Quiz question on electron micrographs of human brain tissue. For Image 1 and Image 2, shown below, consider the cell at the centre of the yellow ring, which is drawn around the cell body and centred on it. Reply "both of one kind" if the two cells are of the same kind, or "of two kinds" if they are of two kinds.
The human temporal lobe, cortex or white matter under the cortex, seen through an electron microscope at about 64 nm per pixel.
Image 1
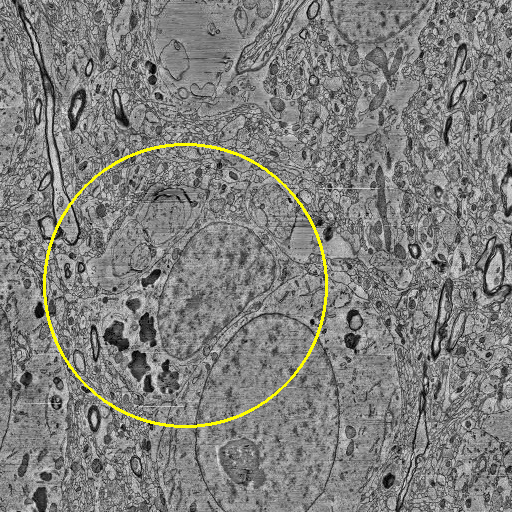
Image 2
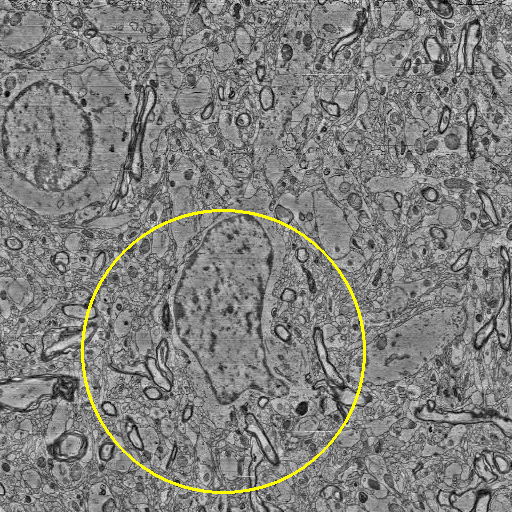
of two kinds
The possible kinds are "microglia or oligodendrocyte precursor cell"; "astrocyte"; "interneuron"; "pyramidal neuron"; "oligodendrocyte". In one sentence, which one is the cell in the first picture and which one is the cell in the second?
The cell ringed in the second picture is a microglial cell or oligodendrocyte precursor cell, whereas the one ringed in the first is an interneuron.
